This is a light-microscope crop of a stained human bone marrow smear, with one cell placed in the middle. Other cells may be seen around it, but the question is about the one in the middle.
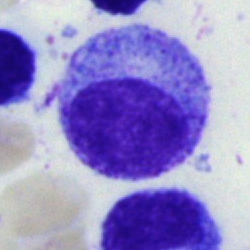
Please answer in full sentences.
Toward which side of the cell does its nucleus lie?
The nucleus sits off-centre, toward the bottom.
